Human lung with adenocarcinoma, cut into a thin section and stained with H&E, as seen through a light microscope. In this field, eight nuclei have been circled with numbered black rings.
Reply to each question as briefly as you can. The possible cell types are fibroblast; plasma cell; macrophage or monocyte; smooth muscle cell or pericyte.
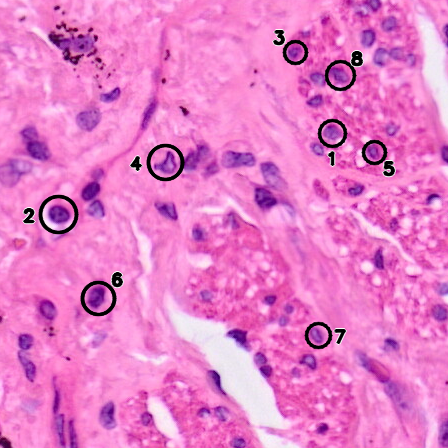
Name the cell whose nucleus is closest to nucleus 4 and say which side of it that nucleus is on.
a plasma cell to the right of nucleus 4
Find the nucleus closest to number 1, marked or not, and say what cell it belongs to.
smooth muscle cell or pericyte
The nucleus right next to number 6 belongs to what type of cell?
fibroblast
